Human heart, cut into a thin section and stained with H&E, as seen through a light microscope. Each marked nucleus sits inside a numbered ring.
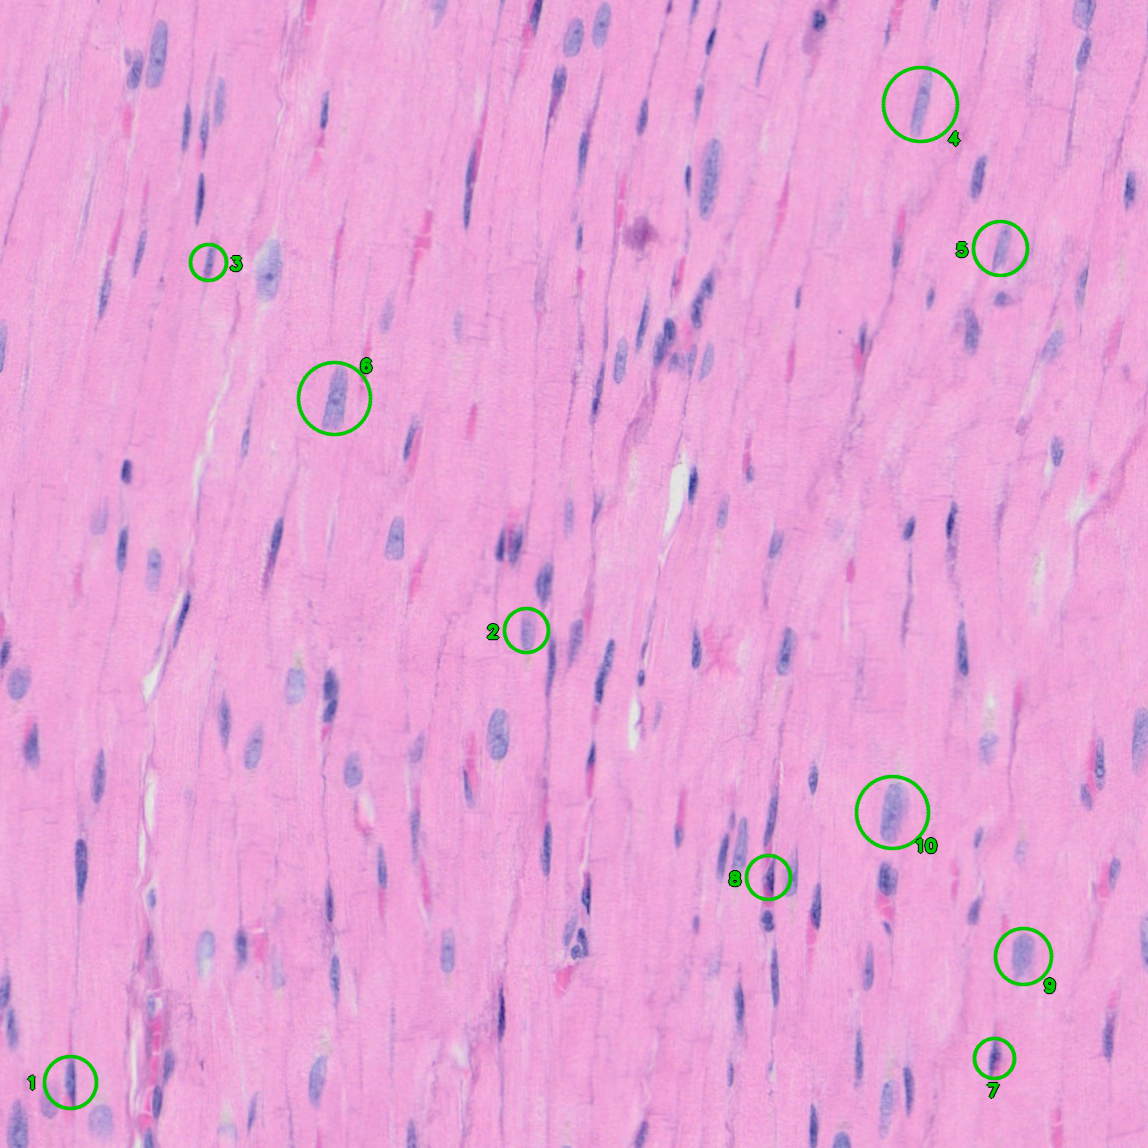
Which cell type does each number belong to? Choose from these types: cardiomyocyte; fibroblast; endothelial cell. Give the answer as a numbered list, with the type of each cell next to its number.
1. endothelial cell
2. cardiomyocyte
3. endothelial cell
4. cardiomyocyte
5. cardiomyocyte
6. cardiomyocyte
7. endothelial cell
8. endothelial cell
9. cardiomyocyte
10. cardiomyocyte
